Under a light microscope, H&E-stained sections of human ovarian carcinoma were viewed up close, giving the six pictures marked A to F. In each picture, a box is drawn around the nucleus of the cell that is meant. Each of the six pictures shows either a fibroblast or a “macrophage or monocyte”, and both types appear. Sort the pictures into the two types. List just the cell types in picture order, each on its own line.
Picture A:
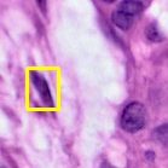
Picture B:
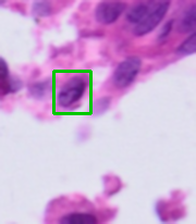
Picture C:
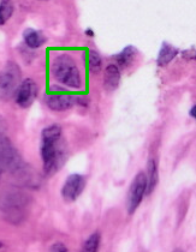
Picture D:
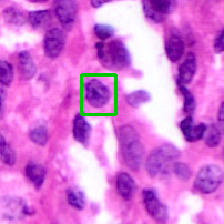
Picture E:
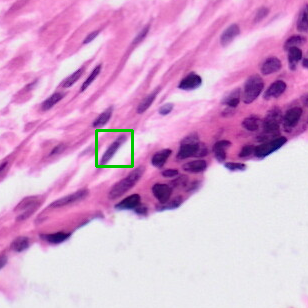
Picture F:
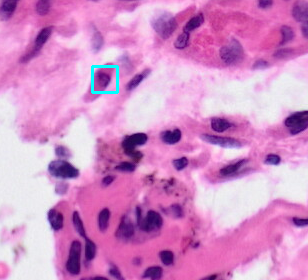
fibroblast
macrophage or monocyte
macrophage or monocyte
macrophage or monocyte
fibroblast
fibroblast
